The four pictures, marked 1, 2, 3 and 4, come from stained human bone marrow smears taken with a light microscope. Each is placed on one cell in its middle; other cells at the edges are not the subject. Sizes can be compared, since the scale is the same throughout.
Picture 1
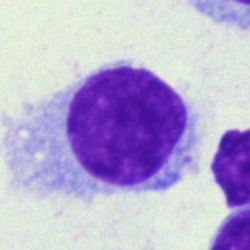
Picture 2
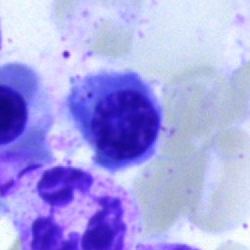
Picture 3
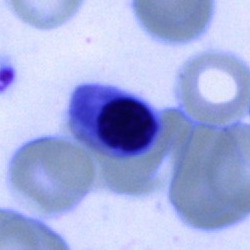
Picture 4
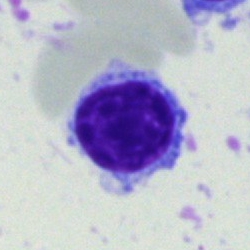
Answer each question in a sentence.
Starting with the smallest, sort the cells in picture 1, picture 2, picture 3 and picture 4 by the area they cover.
From the smallest up, the order is 3, 2, 4, 1.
